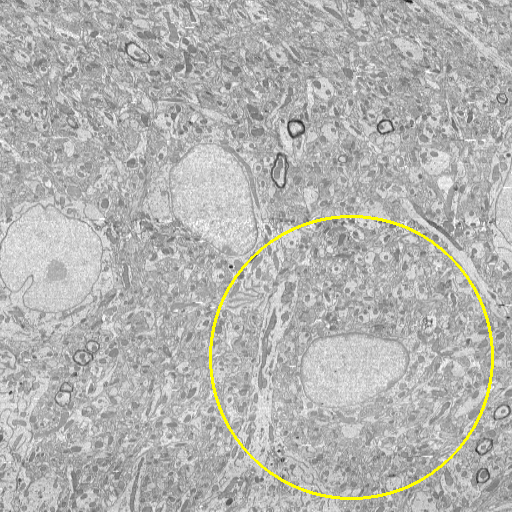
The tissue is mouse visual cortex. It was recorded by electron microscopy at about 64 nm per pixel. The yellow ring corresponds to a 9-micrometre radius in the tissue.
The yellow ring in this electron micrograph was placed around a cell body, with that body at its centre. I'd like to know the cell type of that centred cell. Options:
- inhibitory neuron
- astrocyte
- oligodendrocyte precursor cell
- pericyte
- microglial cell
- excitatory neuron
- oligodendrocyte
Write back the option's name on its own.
astrocyte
